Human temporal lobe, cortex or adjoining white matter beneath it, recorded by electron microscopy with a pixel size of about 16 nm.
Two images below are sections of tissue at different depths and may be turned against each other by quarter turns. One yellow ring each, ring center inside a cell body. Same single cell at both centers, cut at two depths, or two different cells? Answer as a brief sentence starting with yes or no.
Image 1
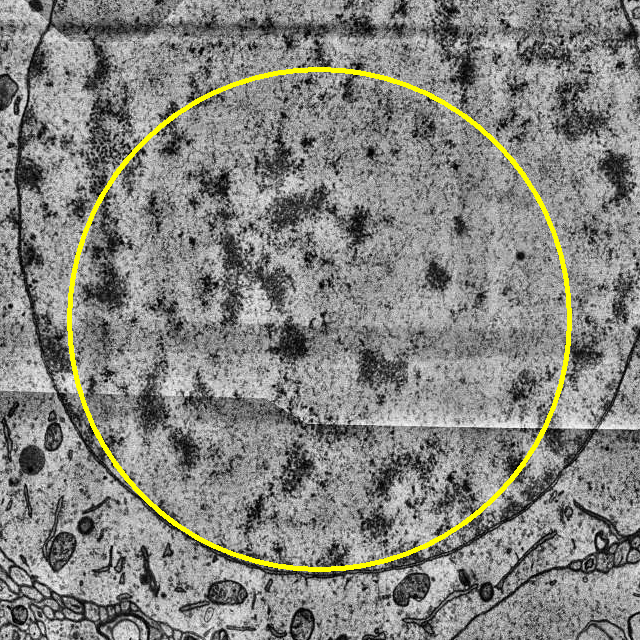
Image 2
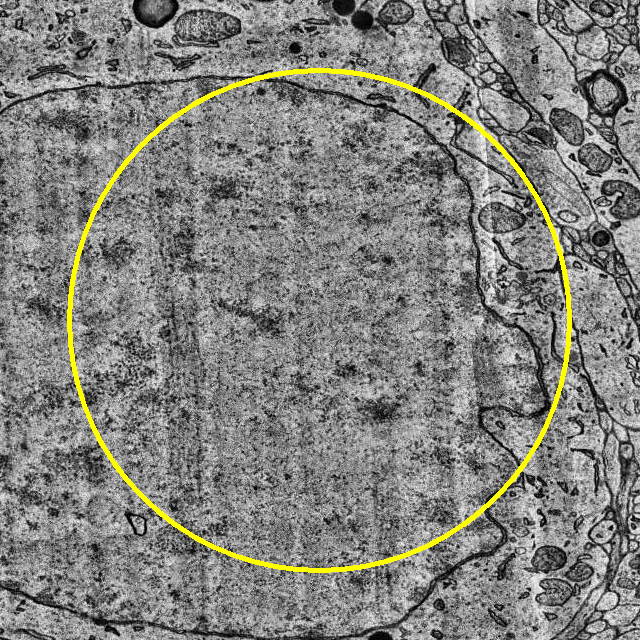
No, the two rings enclose two cells that are not the same.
